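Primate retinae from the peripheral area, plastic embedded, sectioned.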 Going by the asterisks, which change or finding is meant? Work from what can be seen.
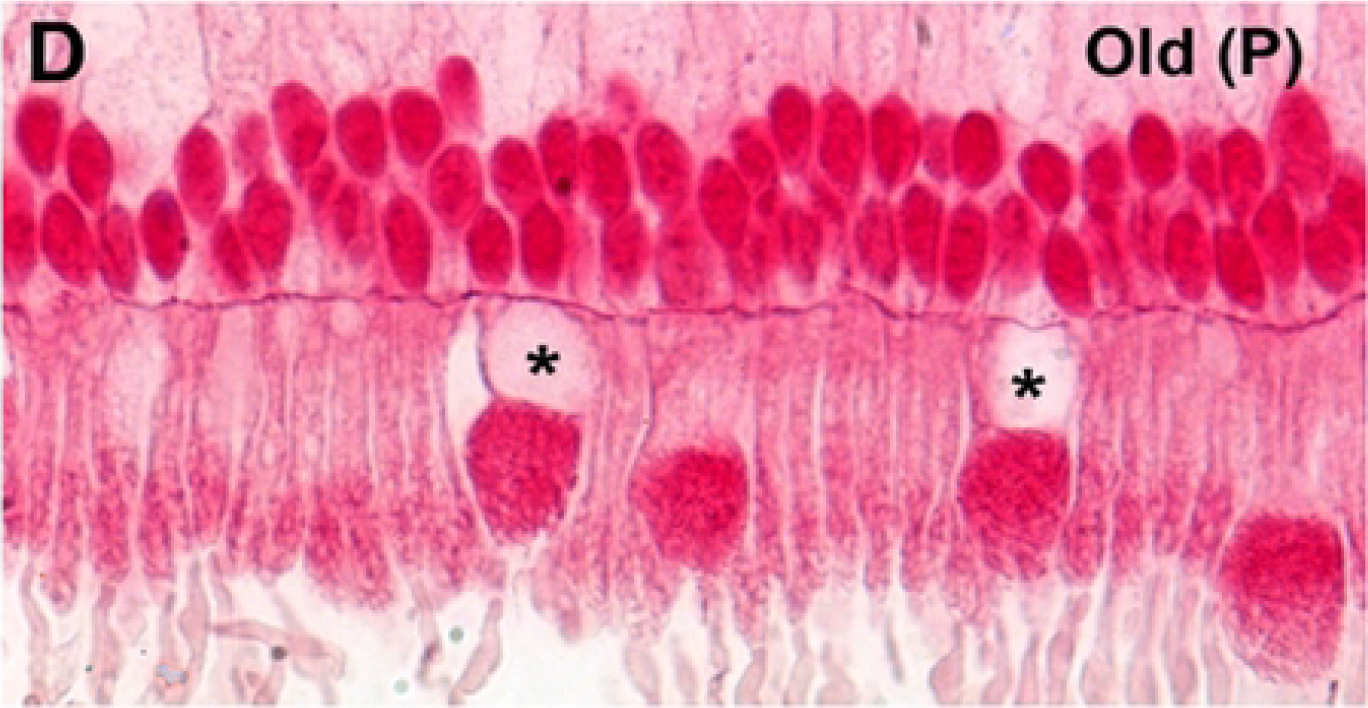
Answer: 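Each asterisk sits in a pale, nearly unstained rounded space inside an inner segment. The pale space lies directly above a dense dark red cluster in the same inner segment. So: a void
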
